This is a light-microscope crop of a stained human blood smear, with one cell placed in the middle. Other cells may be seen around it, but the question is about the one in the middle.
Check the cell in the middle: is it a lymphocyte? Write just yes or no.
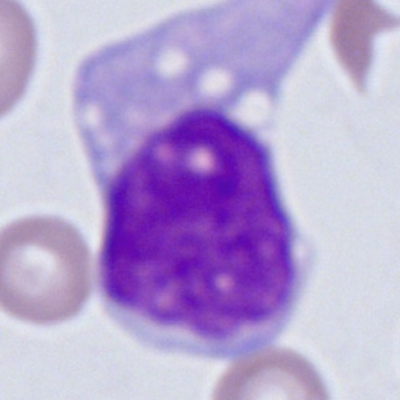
no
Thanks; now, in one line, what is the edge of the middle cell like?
The edge of the cell is broken up by ragged stretches or by outward projections.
